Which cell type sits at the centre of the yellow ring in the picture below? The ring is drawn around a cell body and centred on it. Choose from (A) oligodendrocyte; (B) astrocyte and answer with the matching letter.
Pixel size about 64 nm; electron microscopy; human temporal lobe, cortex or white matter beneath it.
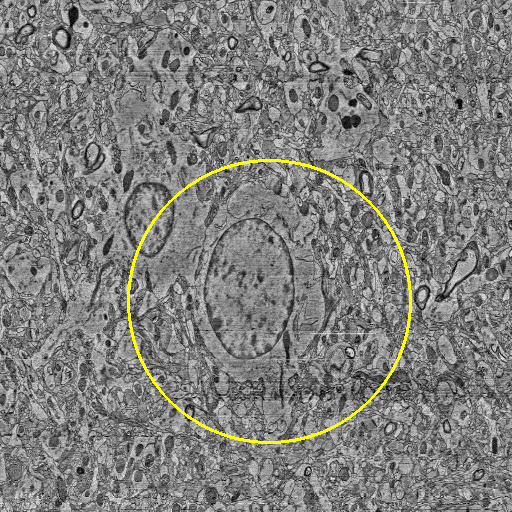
B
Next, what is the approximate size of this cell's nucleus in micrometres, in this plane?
About 9 by 6 micrometres in this plane; clearly longer than it is wide.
